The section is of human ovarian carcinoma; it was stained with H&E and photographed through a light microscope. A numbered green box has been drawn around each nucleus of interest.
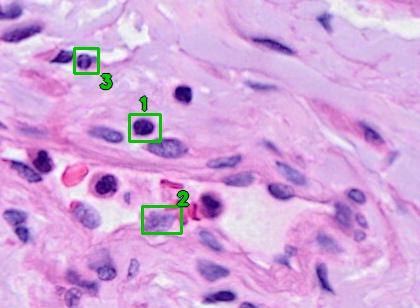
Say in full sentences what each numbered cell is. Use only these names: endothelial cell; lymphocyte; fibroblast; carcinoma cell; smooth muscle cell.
Cell 1 is a lymphocyte, cell 2 is an endothelial cell and cell 3 is a lymphocyte.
